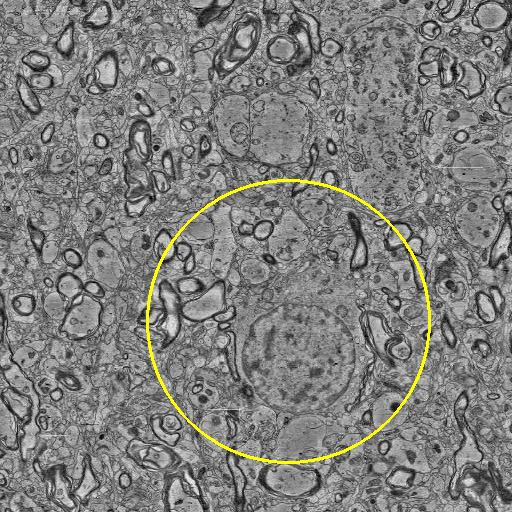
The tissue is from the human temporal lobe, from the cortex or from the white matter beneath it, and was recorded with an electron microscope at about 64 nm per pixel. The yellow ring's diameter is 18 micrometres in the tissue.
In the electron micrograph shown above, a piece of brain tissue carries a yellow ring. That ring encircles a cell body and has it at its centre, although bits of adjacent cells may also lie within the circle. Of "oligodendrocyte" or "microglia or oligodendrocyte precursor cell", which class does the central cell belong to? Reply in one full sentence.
The cell body at the centre of the yellow ring belongs to an oligodendrocyte.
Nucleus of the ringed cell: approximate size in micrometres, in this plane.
In this plane the ringed cell's nucleus is roughly 7 micrometres across.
